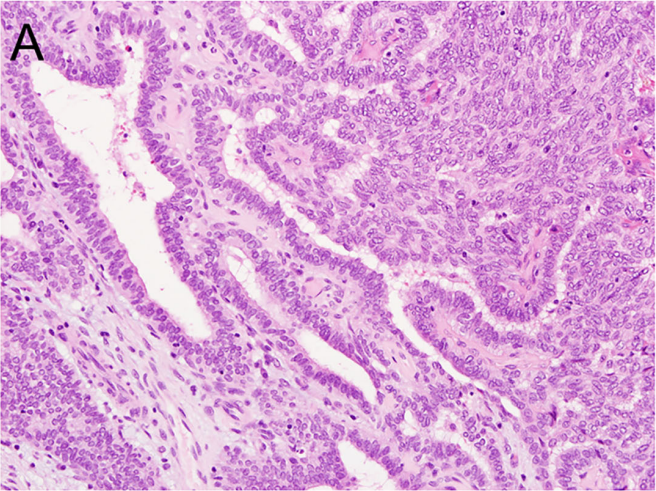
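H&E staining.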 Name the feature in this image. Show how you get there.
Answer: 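Papillary structure with fibrovascular cores. Elongated fronds of epithelium line branching clefts and spaces. Pale pink loose stroma runs in the centre of the fronds, covered by epithelium.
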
